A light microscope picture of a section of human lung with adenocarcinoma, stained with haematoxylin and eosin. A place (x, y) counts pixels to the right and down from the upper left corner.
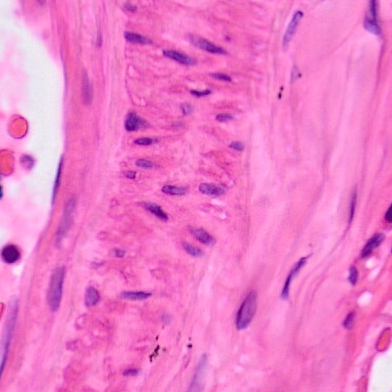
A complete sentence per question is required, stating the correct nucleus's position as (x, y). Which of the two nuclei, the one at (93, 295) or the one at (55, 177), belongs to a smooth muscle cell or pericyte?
Of the pair, the nucleus positioned at (93, 295) is that of a smooth muscle cell or pericyte.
